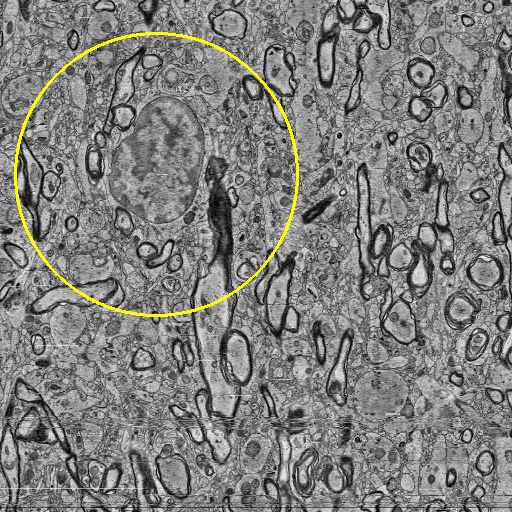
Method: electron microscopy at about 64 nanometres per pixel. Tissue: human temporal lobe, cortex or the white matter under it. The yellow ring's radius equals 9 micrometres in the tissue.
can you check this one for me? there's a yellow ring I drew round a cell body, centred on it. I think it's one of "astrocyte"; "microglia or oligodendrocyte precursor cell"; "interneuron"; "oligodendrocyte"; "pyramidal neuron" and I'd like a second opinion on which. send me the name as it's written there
microglia or oligodendrocyte precursor cell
